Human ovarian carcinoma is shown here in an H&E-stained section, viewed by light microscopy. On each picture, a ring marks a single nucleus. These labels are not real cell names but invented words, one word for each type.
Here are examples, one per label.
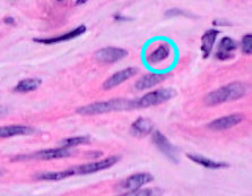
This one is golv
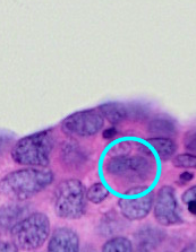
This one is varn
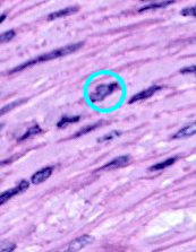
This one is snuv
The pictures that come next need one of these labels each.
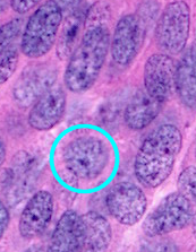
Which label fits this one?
varn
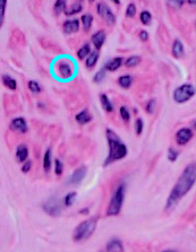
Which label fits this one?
golv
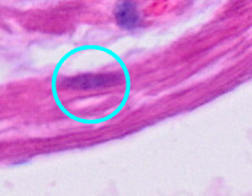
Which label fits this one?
golv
